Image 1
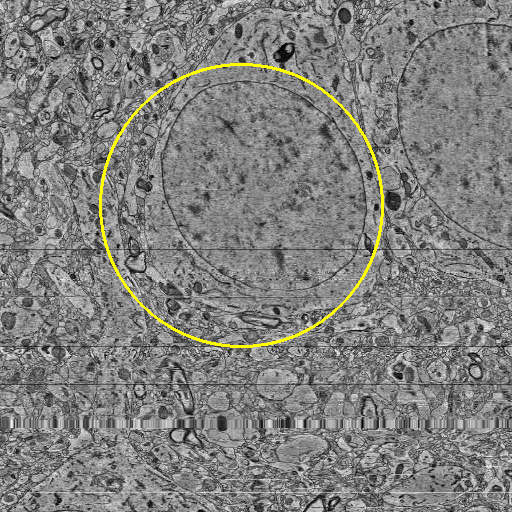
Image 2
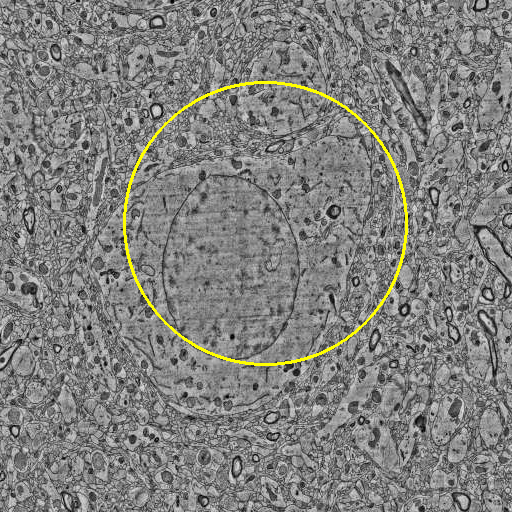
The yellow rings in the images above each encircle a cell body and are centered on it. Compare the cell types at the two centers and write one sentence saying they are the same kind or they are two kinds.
Taken together, the two cells at the ring centers are the same kind.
